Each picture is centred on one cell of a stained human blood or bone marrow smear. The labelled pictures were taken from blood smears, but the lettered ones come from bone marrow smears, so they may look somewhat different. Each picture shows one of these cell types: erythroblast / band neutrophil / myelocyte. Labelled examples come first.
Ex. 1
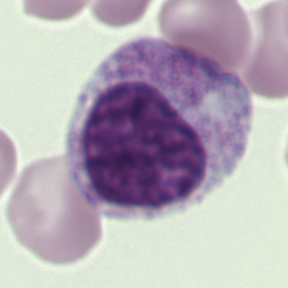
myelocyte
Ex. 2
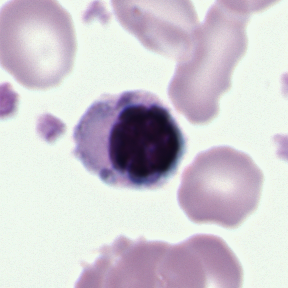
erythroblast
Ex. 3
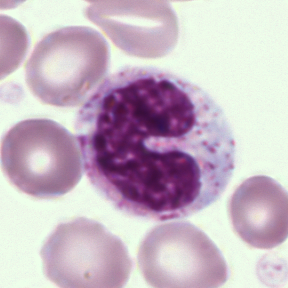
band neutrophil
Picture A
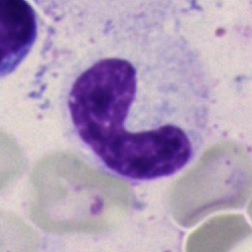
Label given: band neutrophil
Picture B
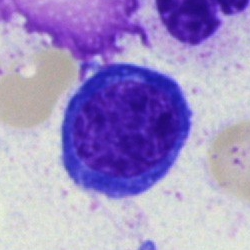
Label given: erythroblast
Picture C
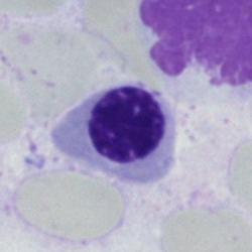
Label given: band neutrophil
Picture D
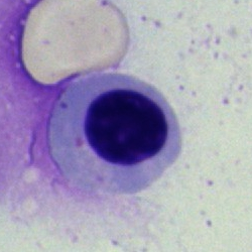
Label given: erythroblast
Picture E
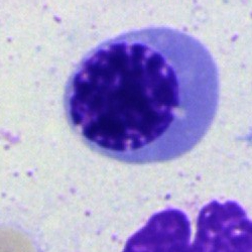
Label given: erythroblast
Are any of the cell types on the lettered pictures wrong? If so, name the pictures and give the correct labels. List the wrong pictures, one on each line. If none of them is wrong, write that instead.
C: erythroblast, not band neutrophil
